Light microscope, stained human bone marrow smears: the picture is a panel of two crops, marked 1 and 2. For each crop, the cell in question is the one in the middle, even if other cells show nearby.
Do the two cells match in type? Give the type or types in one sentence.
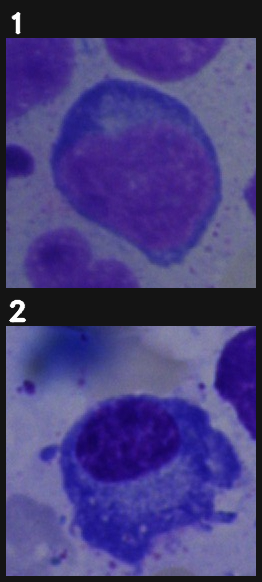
No, a proerythroblast lies at the centre of crop 1, and a plasma cell lies at the centre of crop 2.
